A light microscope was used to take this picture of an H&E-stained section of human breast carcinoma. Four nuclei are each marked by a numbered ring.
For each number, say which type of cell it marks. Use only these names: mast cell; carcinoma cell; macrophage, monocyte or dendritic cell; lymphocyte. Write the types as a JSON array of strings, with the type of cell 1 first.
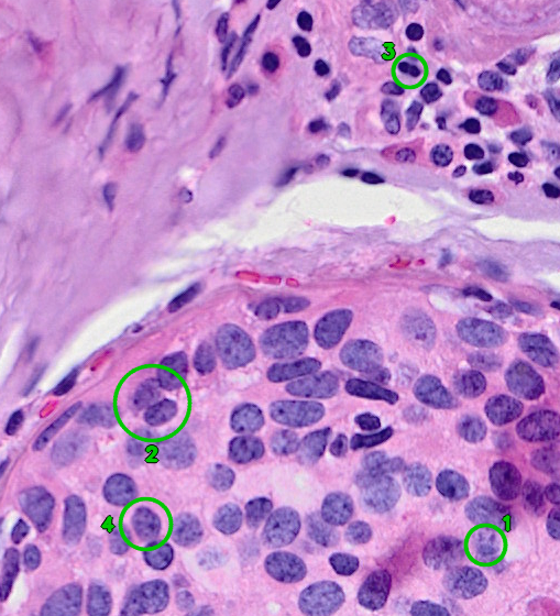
["carcinoma cell", "carcinoma cell", "lymphocyte", "carcinoma cell"]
